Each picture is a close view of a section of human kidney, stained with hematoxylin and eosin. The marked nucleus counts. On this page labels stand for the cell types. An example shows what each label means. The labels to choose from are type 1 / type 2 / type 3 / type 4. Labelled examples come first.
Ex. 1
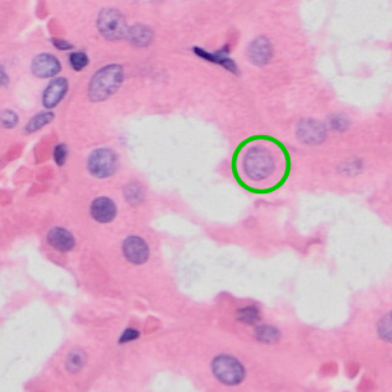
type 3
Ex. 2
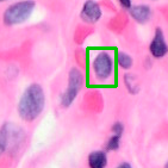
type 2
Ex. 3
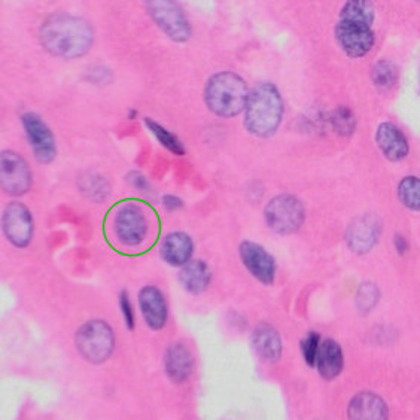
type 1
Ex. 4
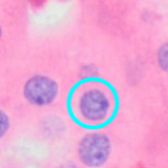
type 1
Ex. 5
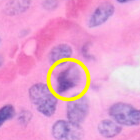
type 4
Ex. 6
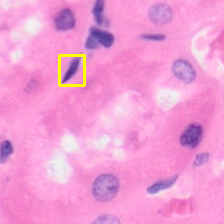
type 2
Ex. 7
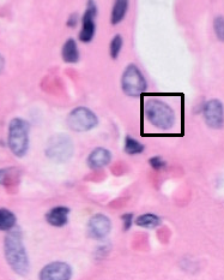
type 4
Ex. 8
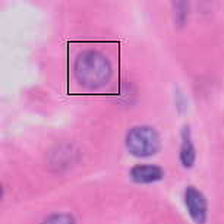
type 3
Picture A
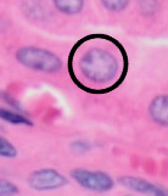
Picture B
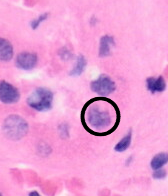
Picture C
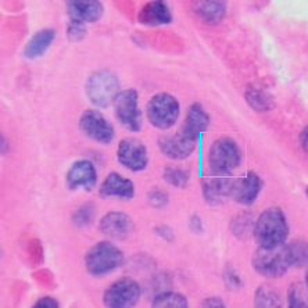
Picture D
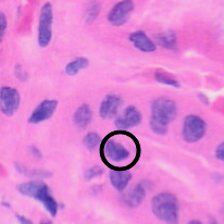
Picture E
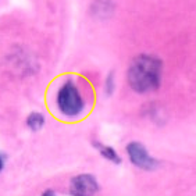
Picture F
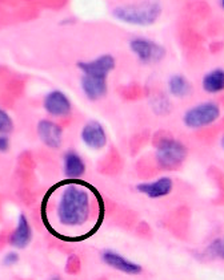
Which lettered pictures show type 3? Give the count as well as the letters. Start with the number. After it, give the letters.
Count: 1 (A)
